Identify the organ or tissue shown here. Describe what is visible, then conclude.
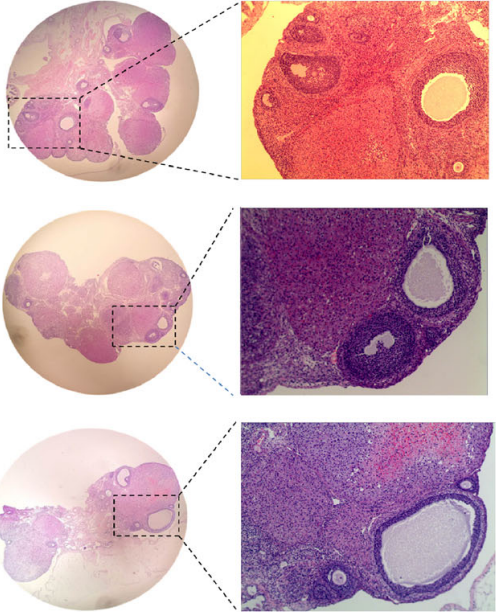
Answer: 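The low-power sections contain many round follicles of different sizes set in a cellular stroma. Several follicles have a large pale fluid-filled cavity lined by layers of small dark cells. The answer: ovaries.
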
